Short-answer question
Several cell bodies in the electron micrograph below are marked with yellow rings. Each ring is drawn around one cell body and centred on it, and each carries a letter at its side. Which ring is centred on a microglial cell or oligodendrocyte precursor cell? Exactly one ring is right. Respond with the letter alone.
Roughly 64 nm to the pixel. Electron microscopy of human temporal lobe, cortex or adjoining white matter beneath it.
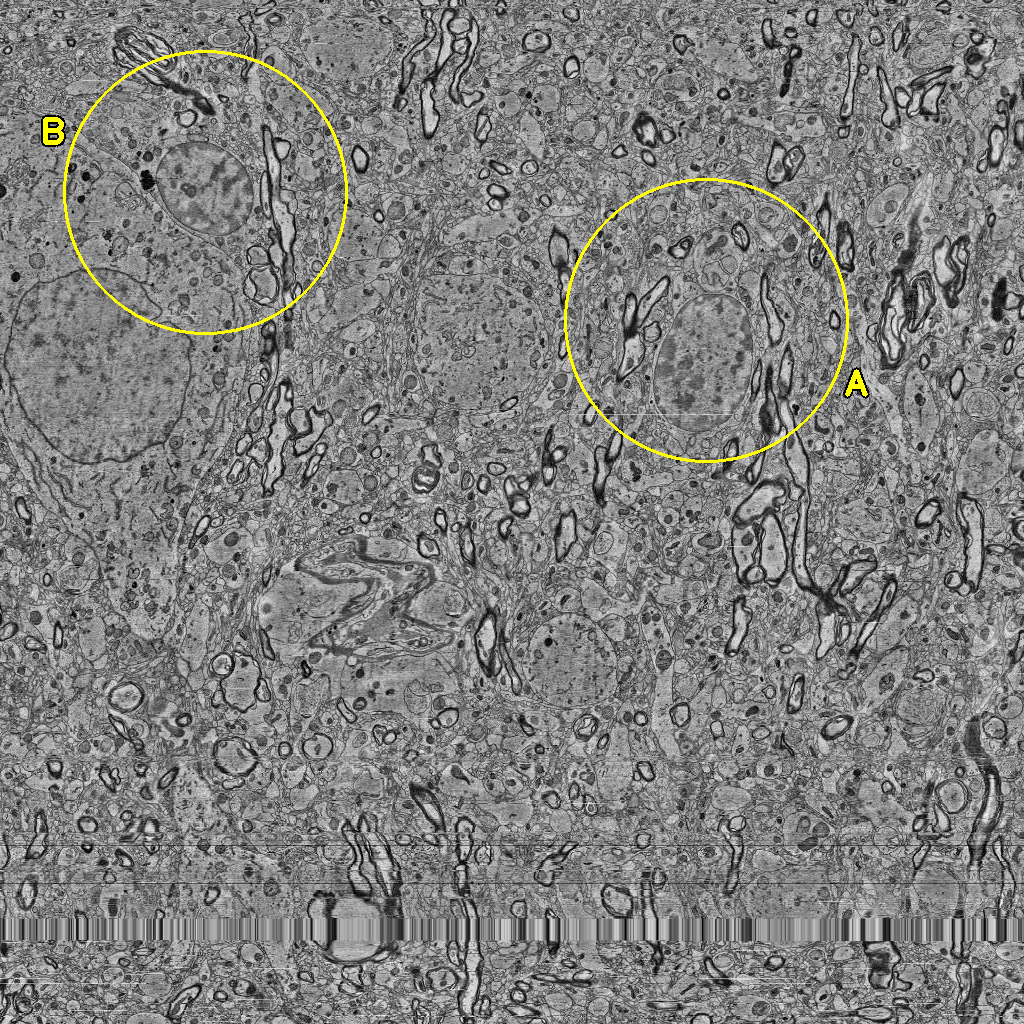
A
